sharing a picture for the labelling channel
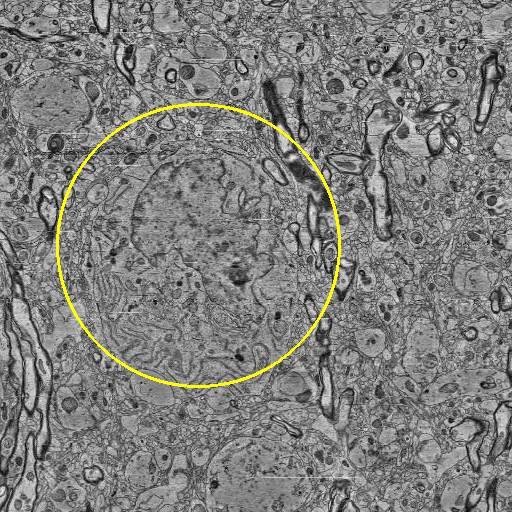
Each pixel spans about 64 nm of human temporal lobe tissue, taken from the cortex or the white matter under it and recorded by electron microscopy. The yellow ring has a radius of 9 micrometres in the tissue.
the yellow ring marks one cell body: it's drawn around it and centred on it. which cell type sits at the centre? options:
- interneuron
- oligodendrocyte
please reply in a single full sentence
In the picture, the cell at the ring's centre is an interneuron, going by the list.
